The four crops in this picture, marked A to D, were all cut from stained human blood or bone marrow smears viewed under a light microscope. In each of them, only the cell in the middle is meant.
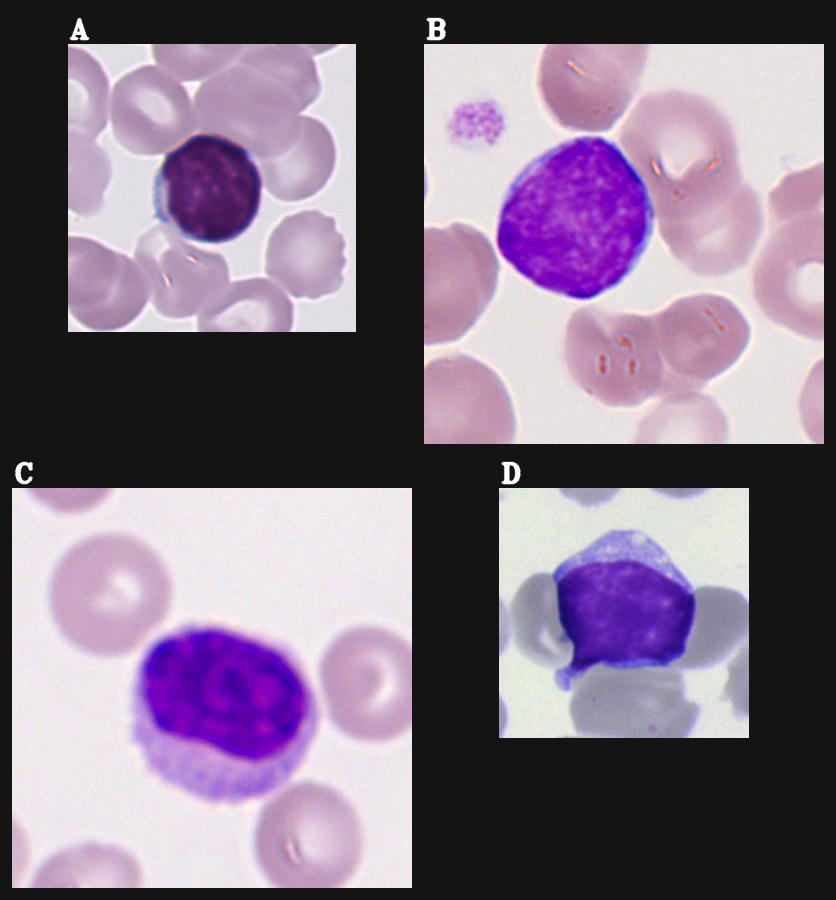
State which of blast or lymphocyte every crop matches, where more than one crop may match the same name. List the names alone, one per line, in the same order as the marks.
lymphocyte
blast
lymphocyte
lymphocyte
